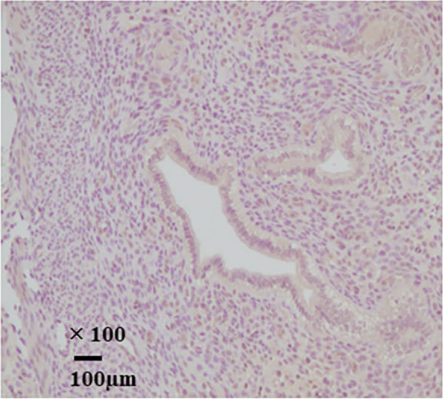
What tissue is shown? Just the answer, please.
uterus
